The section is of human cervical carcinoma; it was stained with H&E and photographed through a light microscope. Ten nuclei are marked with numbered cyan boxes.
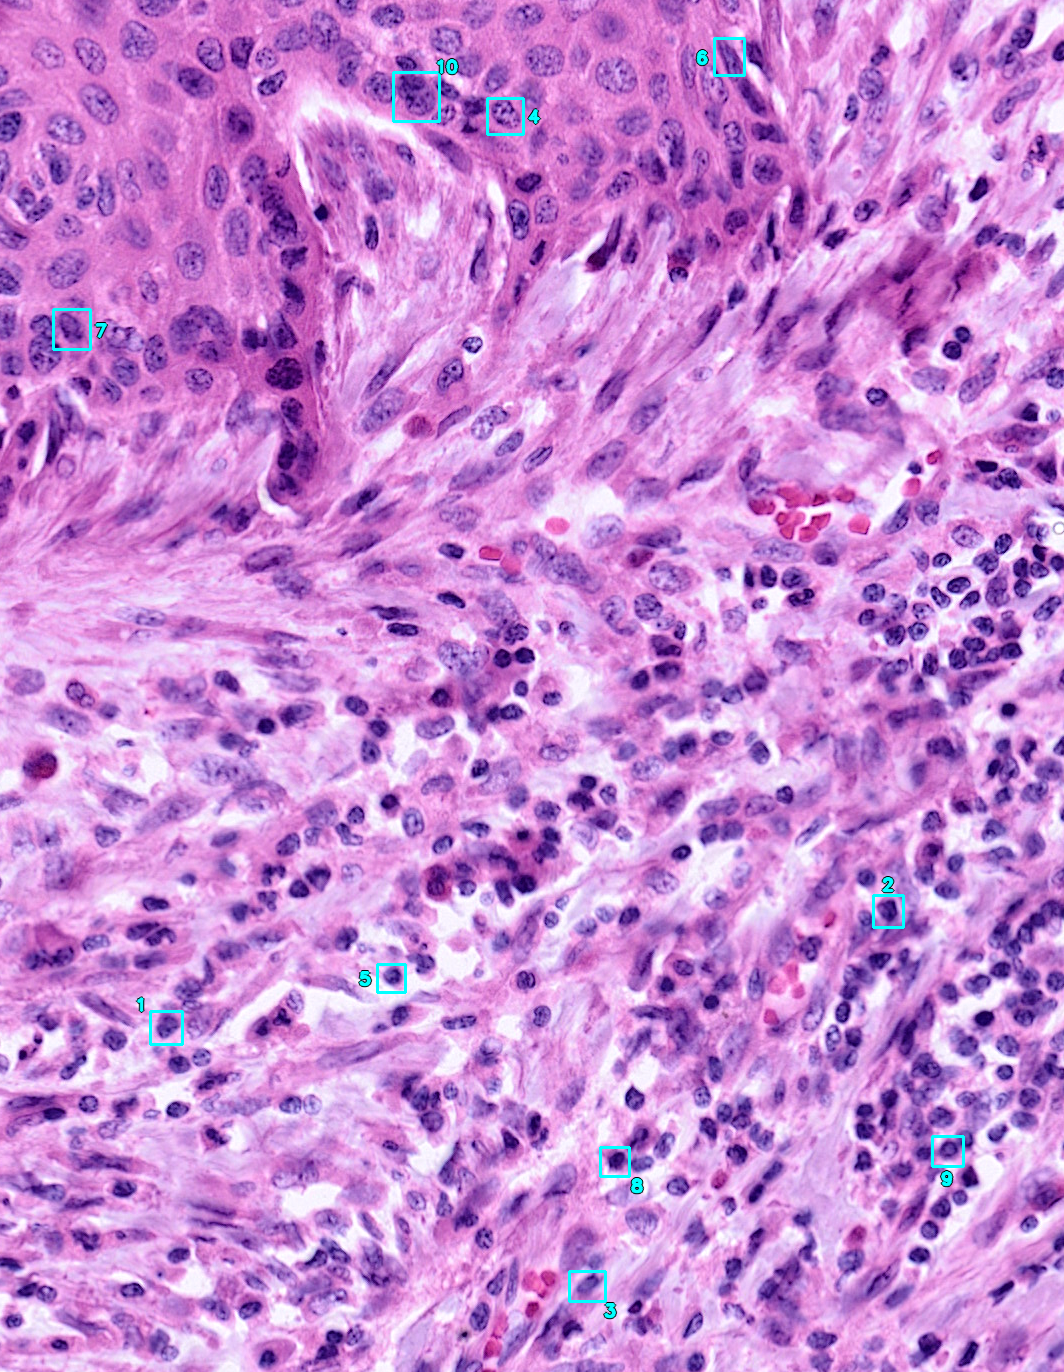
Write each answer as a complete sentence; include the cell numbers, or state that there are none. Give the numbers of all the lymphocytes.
Within the section, cells numbered 1, 2, 3, 5, 8 and 9 are lymphocytes.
